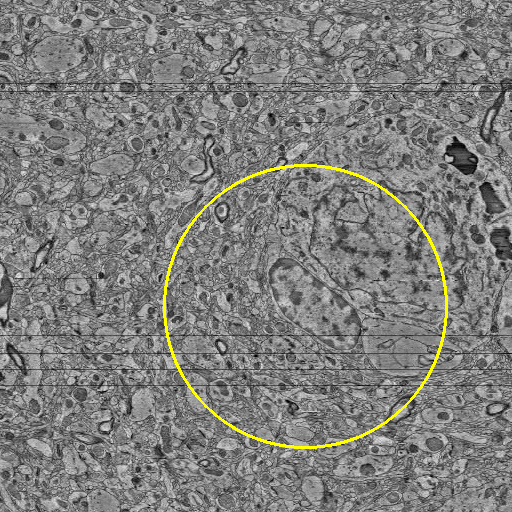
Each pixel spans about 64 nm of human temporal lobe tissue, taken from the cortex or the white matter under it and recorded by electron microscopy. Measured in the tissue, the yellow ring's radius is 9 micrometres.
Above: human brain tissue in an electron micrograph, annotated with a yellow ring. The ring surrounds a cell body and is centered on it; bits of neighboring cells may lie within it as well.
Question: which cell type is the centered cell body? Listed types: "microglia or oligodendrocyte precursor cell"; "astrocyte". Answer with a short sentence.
The centered cell body is a microglial cell or oligodendrocyte precursor cell.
